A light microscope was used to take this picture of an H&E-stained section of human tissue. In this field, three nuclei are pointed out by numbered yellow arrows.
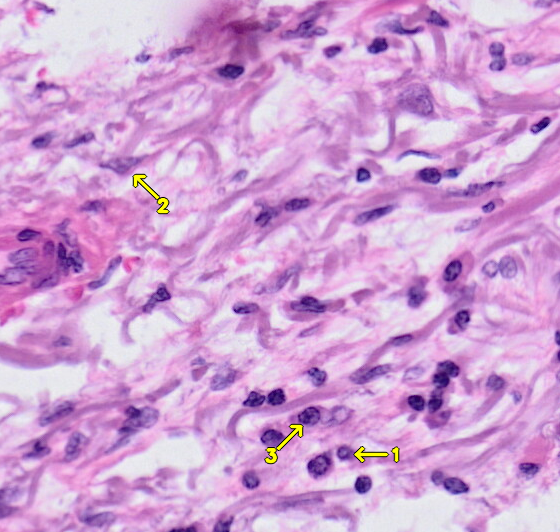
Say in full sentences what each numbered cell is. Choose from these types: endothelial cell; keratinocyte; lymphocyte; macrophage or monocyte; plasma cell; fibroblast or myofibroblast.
Cells 1 and 3 are plasma cells. Cell 2 is a fibroblast or myofibroblast.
